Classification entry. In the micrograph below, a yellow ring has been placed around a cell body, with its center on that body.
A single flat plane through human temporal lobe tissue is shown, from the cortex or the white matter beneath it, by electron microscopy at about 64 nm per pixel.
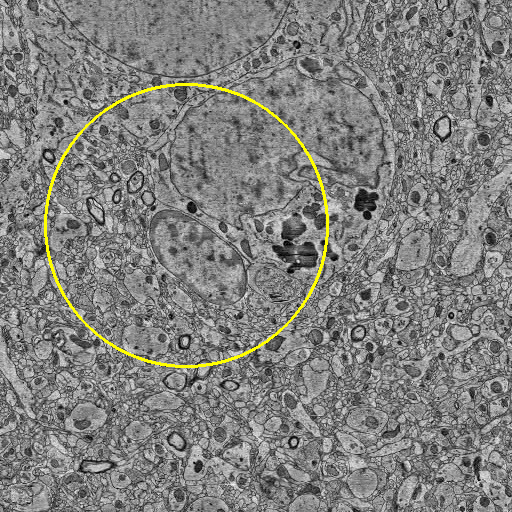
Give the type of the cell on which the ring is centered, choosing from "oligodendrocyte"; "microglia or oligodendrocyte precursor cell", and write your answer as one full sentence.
The cell body at the center of the yellow ring belongs to a microglial cell or oligodendrocyte precursor cell.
